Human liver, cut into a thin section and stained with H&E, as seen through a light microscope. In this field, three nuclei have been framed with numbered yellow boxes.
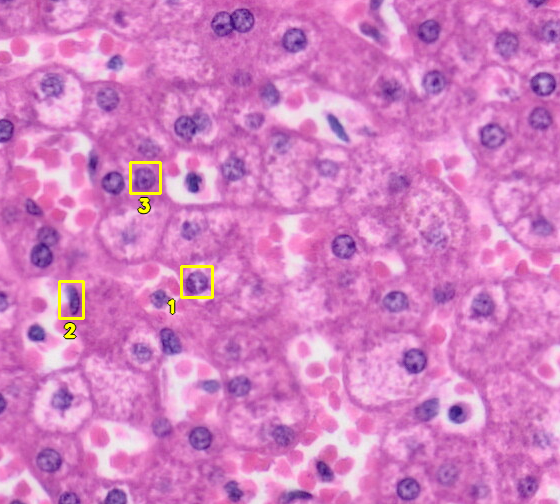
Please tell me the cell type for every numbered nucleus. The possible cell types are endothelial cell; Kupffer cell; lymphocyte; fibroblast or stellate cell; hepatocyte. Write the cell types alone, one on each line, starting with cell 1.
hepatocyte
fibroblast or stellate cell
hepatocyte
